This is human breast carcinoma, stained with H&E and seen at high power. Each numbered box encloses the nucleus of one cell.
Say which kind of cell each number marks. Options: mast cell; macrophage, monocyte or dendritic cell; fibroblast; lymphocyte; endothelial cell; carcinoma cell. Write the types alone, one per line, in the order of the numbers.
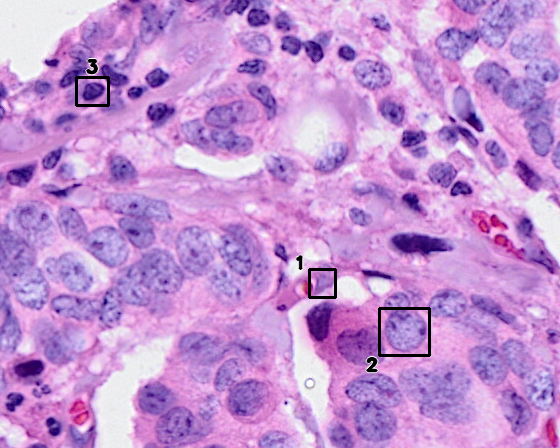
endothelial cell
carcinoma cell
lymphocyte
